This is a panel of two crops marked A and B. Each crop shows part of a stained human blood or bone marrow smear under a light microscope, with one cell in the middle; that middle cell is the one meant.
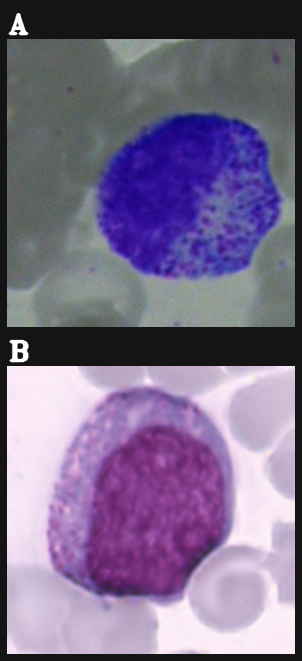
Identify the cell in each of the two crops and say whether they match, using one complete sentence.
No, crop A is of a myelocyte, and crop B is of a promyelocyte.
